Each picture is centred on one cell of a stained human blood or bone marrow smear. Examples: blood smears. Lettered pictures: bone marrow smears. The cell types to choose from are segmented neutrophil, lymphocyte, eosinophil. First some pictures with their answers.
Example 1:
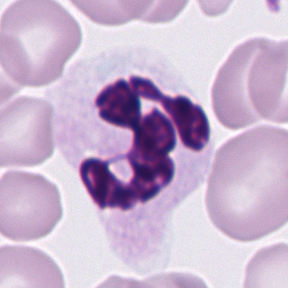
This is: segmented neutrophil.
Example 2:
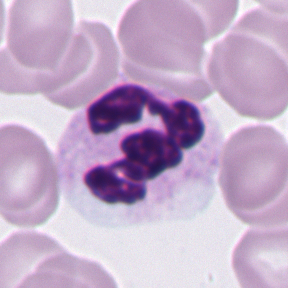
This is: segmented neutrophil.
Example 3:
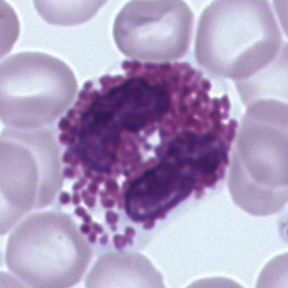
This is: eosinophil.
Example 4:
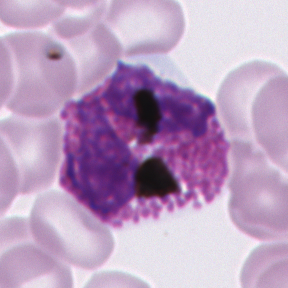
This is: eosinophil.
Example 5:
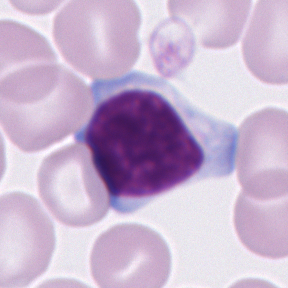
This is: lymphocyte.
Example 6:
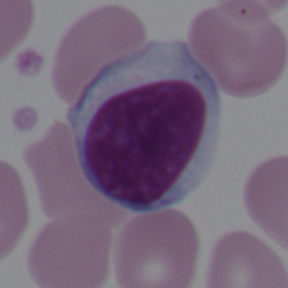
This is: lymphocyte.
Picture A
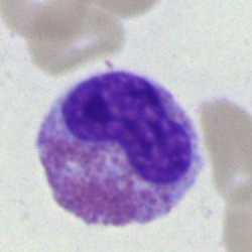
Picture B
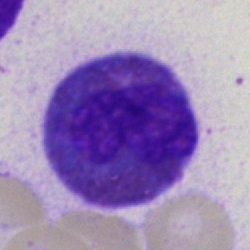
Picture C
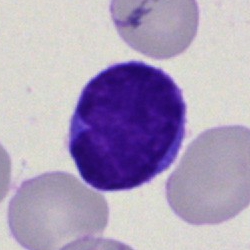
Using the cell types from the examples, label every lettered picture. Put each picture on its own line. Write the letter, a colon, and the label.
A: eosinophil.
B: eosinophil.
C: lymphocyte.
